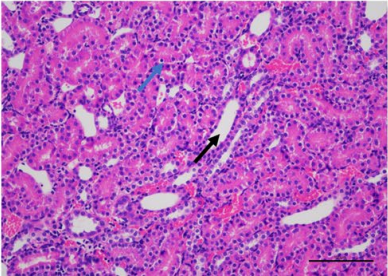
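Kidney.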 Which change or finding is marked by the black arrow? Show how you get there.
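The arrow points at an elongated tubule with a widened empty lumen. Its epithelial lining is thin compared with neighbouring tubules. On this evidence: expansion.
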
